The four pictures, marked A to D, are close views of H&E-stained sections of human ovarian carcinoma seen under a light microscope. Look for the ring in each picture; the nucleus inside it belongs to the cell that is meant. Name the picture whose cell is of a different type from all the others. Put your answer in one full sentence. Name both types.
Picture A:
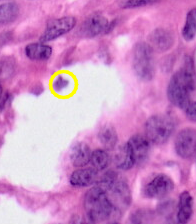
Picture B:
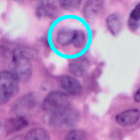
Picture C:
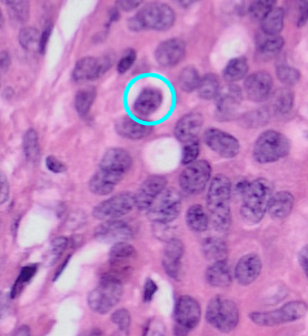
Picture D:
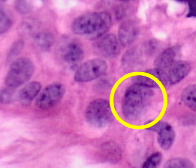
All pictures except B show carcinoma cells; picture B shows a “macrophage or monocyte”.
